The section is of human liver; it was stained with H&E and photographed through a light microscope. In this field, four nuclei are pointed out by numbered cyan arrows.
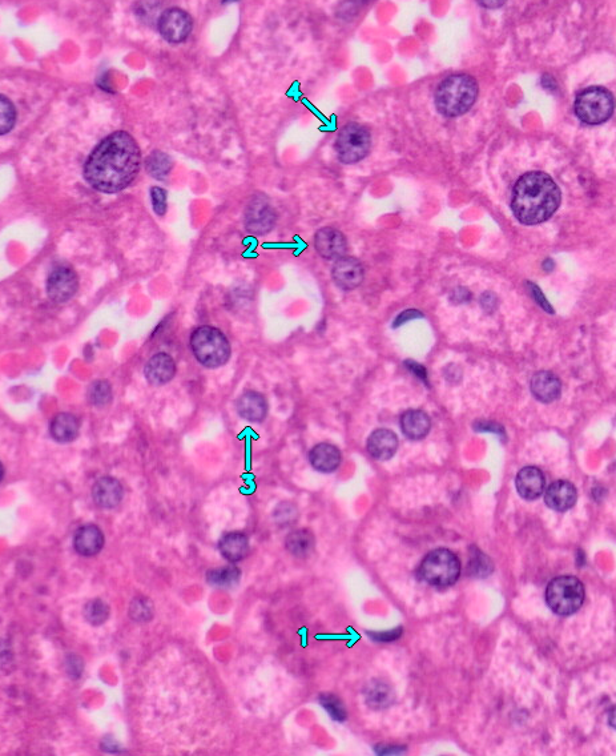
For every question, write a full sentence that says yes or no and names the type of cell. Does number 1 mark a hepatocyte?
No, number 1 is not a hepatocyte but an endothelial cell.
